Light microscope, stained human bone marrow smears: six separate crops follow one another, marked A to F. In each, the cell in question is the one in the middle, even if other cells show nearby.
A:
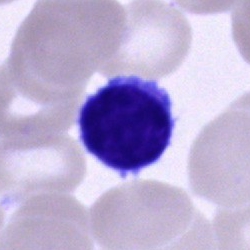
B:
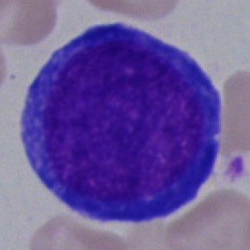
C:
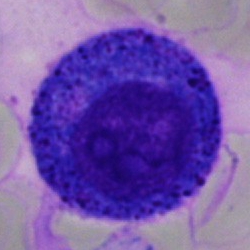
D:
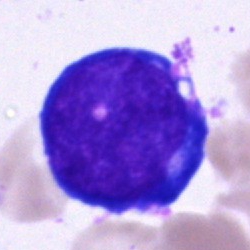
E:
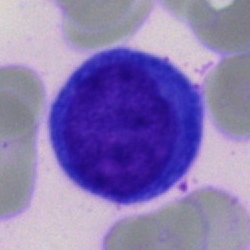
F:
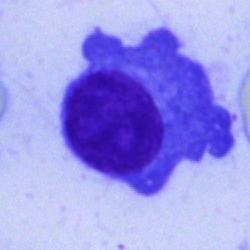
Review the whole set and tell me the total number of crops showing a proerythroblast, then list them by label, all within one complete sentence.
Crops with proerythroblasts come to four, specifically B, C, D and E.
